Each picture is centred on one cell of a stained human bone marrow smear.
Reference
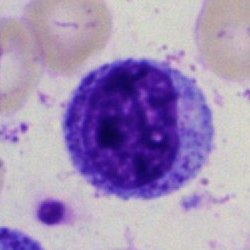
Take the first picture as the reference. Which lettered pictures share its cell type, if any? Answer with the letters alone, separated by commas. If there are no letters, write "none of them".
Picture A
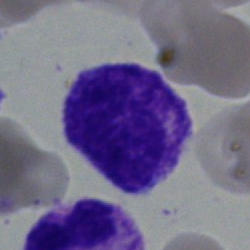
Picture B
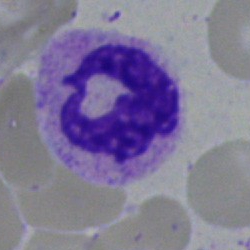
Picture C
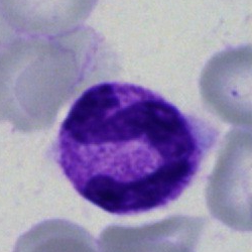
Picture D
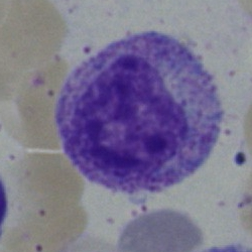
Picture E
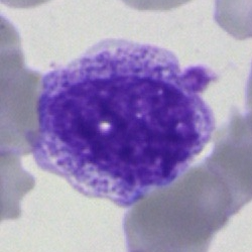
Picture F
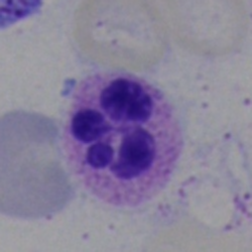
A, D, E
